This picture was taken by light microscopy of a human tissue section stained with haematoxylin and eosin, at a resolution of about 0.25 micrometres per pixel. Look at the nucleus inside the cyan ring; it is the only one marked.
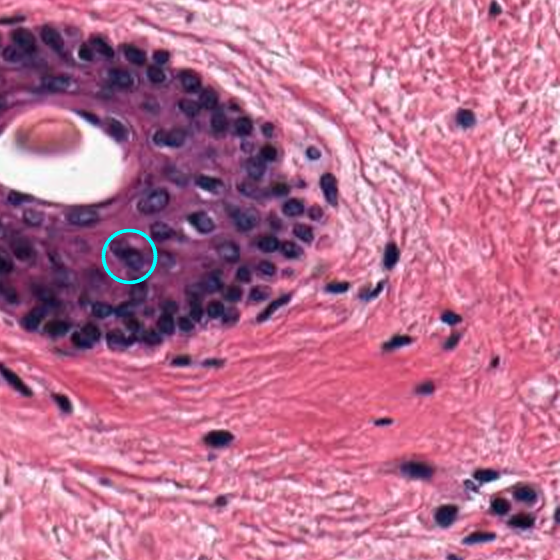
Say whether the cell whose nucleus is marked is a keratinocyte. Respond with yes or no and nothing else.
yes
